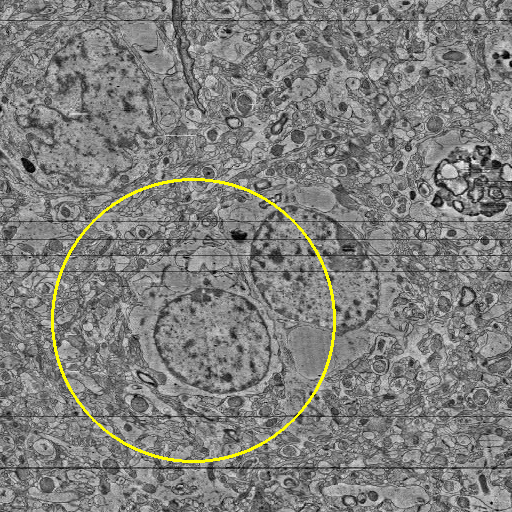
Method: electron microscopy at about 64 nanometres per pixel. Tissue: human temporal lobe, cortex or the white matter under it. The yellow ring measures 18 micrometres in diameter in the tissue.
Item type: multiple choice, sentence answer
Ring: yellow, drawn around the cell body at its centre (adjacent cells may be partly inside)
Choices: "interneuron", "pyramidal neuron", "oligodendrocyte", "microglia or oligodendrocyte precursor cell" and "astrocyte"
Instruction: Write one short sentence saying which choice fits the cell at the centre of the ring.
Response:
This ring is drawn around an astrocyte.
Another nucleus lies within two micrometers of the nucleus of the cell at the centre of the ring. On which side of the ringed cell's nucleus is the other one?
The second nucleus sits to the upper right of it.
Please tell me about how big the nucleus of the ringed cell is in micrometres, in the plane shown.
About 8 by 7 micrometres in this plane.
